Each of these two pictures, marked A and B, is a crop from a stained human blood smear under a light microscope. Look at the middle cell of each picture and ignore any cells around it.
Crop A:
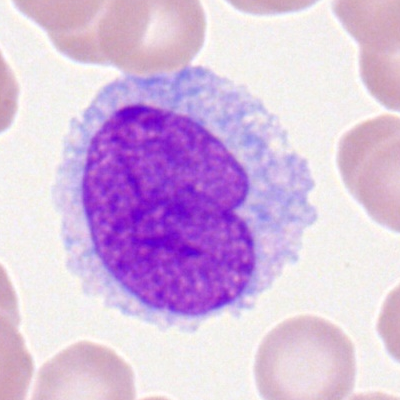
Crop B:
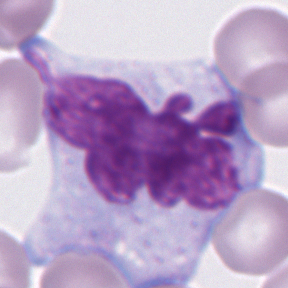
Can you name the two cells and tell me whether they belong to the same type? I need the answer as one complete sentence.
Yes, monocytes are centred in both crops.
